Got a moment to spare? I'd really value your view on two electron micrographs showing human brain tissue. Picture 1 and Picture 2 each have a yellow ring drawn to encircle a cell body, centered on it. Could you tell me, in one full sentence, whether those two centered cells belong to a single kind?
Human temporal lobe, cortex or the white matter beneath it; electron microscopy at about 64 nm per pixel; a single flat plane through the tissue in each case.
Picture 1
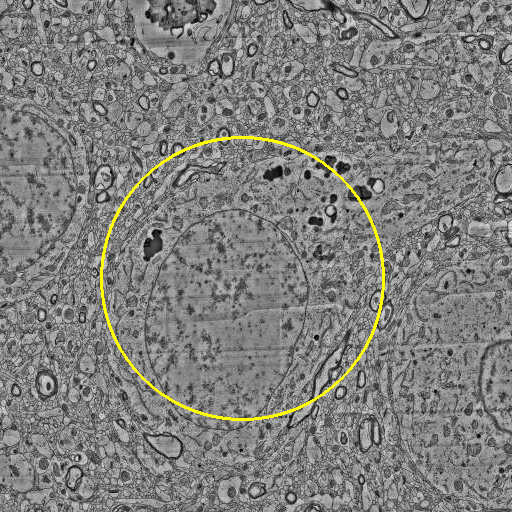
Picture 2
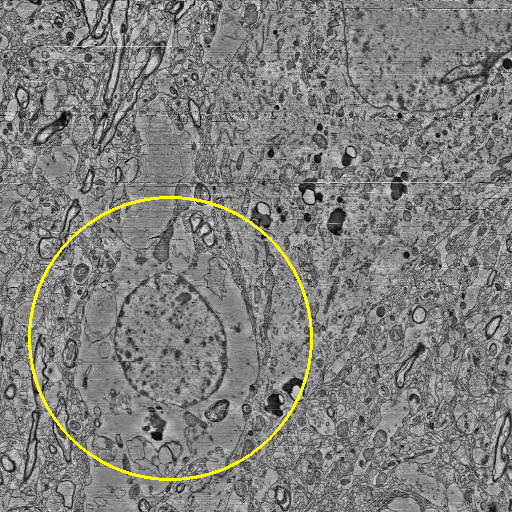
No, the two centered cells in Picture 1 and Picture 2 are of two kinds.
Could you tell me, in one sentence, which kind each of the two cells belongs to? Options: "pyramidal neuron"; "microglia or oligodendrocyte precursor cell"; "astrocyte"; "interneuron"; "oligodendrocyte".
At the centre of the first ring sits a pyramidal neuron, and at the centre of the second sits an astrocyte.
